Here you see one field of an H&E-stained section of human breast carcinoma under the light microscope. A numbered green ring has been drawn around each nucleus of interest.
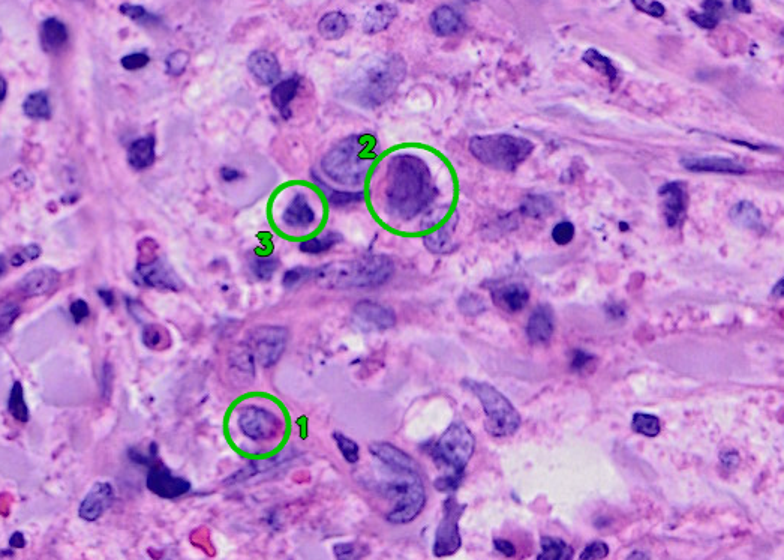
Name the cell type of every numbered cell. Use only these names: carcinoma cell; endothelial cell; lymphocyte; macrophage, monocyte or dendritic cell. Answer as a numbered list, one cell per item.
1. endothelial cell
2. carcinoma cell
3. lymphocyte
